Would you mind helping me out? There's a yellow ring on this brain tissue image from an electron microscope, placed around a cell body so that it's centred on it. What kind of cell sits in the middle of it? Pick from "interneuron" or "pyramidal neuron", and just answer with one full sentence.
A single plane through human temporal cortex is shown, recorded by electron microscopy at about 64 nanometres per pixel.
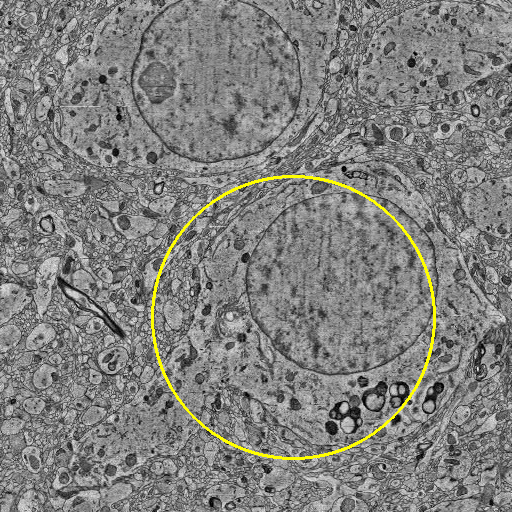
What sits in the middle of that yellow ring is a pyramidal neuron, from your choices.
